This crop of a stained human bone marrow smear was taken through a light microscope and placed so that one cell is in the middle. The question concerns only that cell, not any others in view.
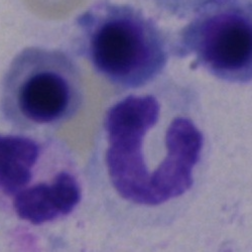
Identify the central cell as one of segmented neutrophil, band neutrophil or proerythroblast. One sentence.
The cell around which this crop is centred is a segmented neutrophil.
